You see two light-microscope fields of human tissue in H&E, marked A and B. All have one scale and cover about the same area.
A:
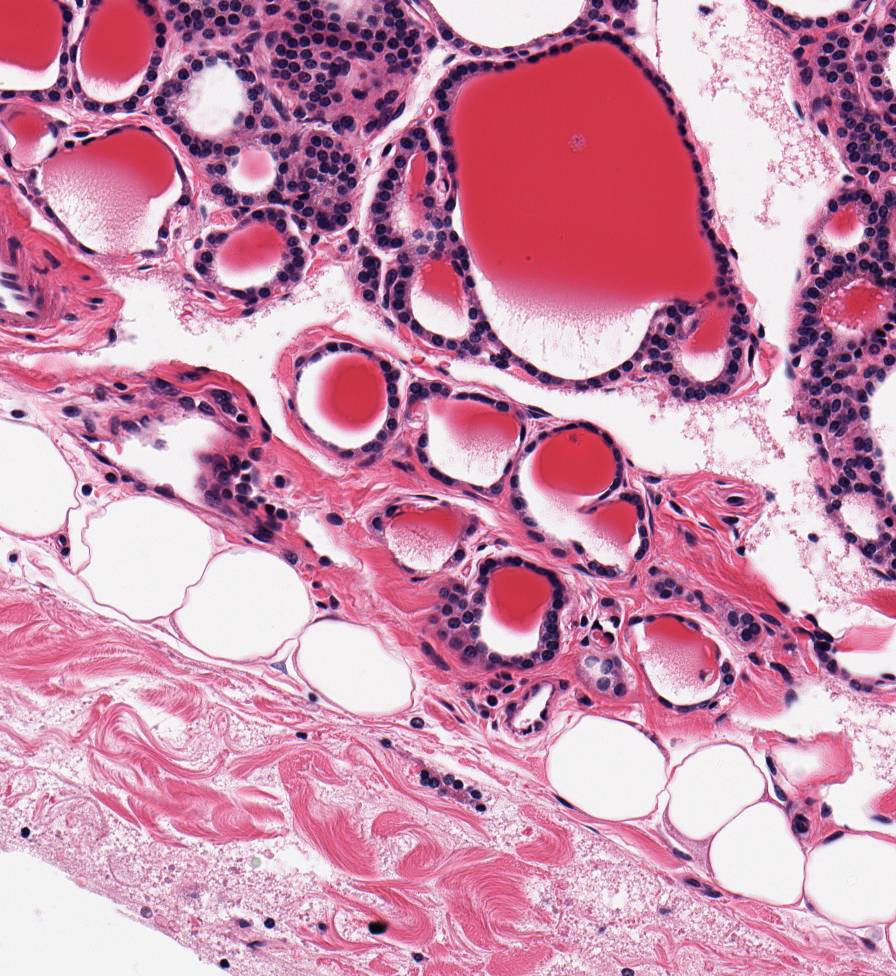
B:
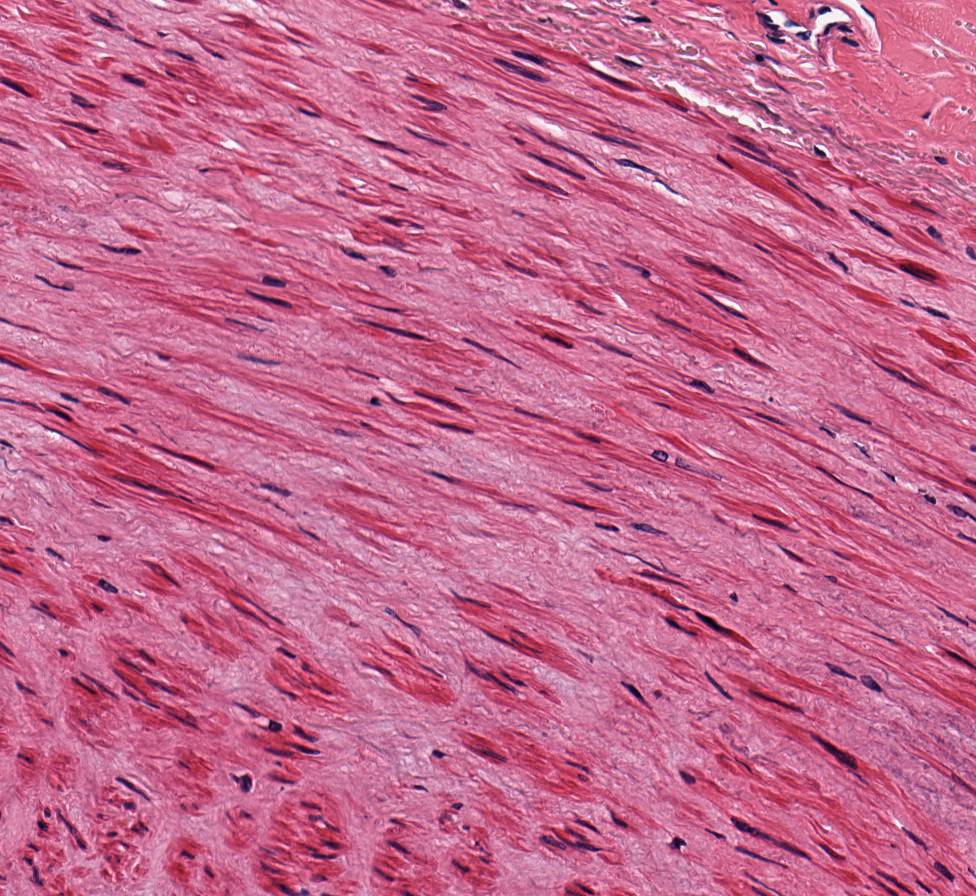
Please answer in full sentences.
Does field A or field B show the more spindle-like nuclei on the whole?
The nuclei are more elongated in field B.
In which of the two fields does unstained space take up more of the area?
More of field A is empty and white.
